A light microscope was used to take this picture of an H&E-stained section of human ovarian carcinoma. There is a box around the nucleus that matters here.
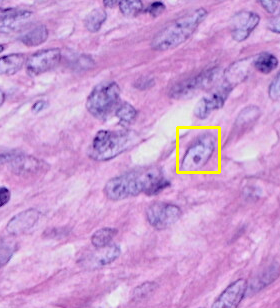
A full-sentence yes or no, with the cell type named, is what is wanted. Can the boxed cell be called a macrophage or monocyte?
No, mate, the boxed cell is a fibroblast rather than a macrophage or monocyte.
